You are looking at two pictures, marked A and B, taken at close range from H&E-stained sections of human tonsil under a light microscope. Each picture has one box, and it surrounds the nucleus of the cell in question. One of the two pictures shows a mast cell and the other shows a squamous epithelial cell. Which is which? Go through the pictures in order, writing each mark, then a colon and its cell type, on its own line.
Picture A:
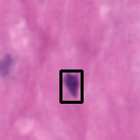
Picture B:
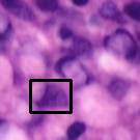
A: mast cell
B: squamous epithelial cell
